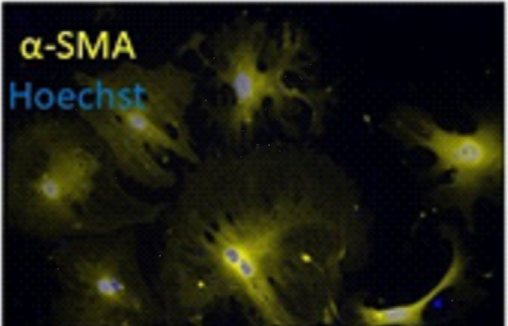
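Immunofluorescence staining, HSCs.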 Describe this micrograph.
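These are large, flattened cultured cells spread widely over the surface, their cytoplasm filled with yellow fibrillar strands. Each cell has one or two oval blue nuclei near its centre, and the cell edges are irregular, with broad sheets and tapering extensions.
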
